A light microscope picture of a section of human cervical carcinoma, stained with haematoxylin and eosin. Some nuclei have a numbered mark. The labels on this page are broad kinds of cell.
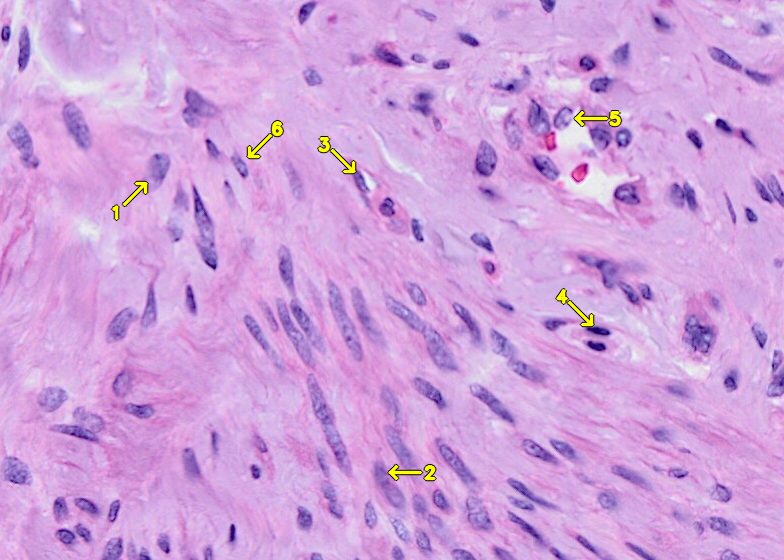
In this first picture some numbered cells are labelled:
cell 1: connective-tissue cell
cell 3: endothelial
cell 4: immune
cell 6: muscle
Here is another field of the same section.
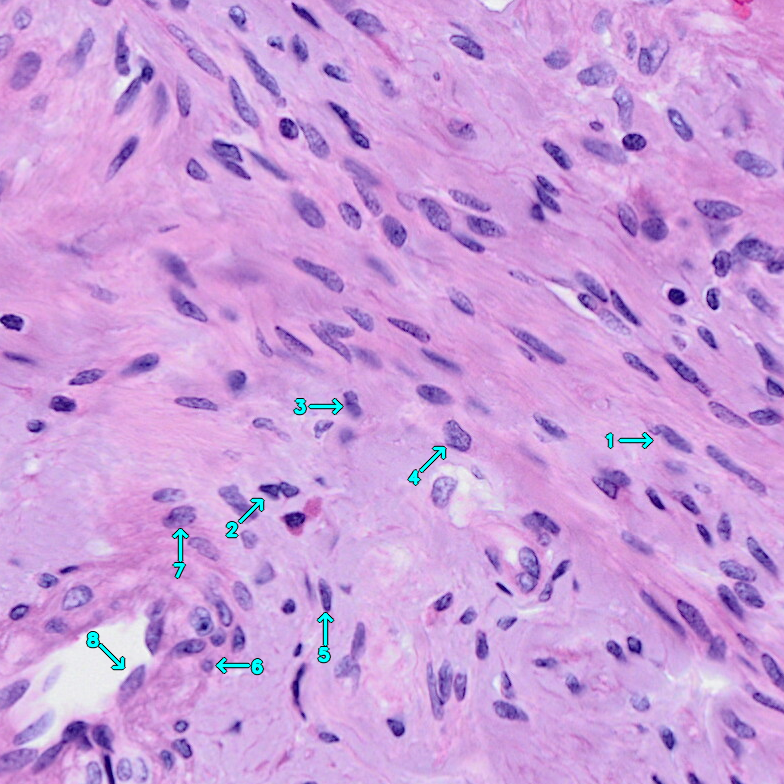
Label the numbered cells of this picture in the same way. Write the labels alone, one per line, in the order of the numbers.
connective-tissue cell
connective-tissue cell
connective-tissue cell
connective-tissue cell
connective-tissue cell
muscle
muscle
endothelial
